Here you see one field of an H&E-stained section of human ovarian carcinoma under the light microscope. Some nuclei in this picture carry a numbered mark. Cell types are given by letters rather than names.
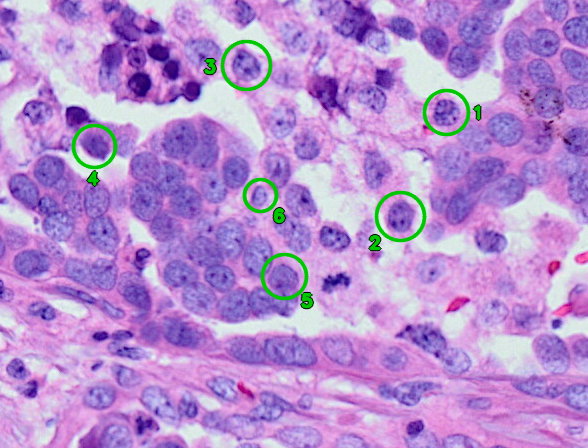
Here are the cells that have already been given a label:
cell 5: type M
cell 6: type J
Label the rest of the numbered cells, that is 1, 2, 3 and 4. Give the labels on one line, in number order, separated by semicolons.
type J; type J; type J; type M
